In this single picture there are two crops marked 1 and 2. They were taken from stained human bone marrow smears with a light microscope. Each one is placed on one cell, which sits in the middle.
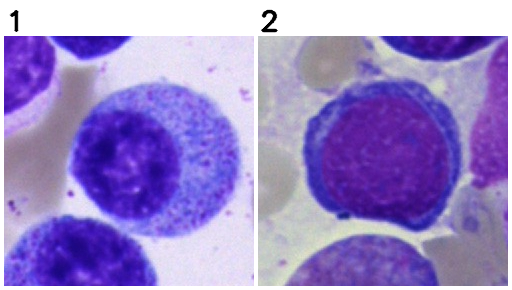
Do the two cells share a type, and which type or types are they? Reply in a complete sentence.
No, crop 1 is home to a promyelocyte, and crop 2 to a proerythroblast.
